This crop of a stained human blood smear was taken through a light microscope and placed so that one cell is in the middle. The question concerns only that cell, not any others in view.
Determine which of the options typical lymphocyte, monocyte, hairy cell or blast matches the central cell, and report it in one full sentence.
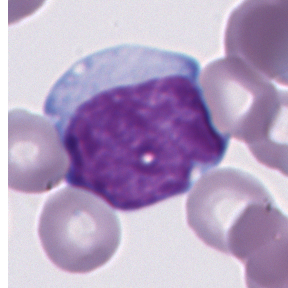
The middle of this crop is occupied by a blast.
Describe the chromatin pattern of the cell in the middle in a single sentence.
The chromatin is fine; coarse clumps are not a feature here.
